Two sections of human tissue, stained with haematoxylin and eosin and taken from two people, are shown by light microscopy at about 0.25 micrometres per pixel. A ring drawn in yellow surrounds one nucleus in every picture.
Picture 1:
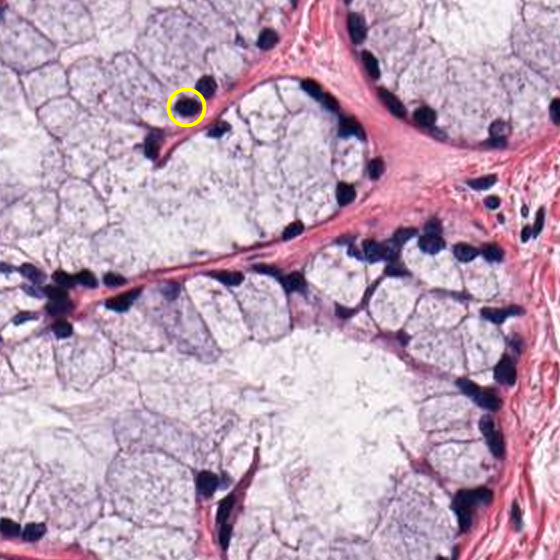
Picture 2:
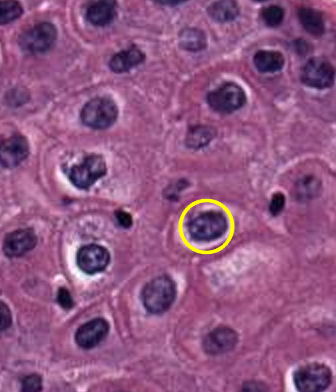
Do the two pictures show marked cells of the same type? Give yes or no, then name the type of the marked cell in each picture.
No, the first is a mucous gland cell and the second a squamous epithelial cell.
